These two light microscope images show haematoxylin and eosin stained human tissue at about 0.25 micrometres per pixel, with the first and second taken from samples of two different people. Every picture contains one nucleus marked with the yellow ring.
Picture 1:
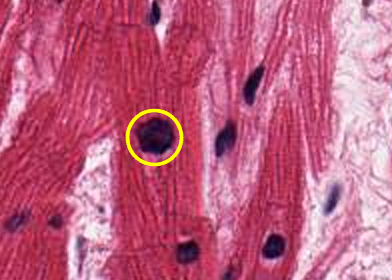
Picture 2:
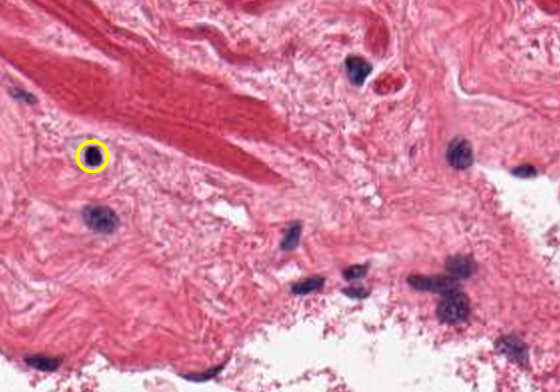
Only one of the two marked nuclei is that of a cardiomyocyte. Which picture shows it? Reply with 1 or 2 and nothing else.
1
